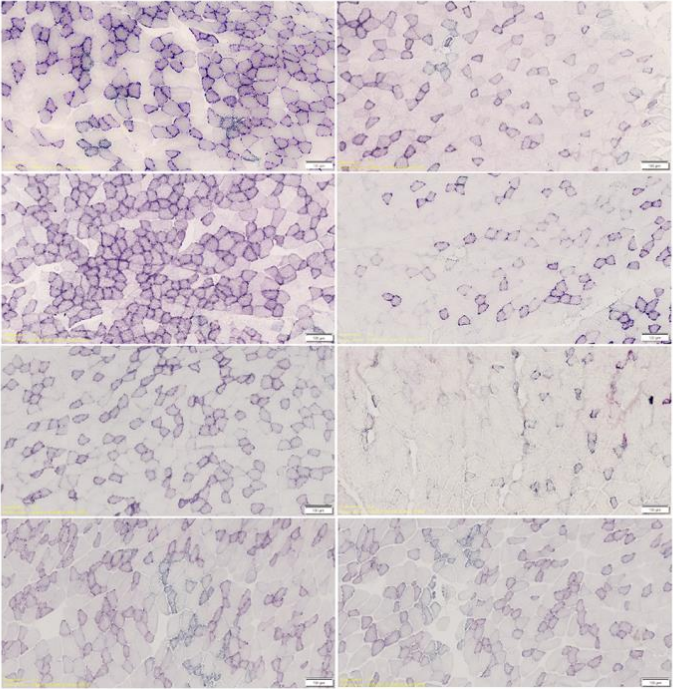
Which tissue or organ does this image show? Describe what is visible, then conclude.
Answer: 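Muscle fibers. Polygonal profiles packed side by side in a mosaic, as in a cross-section of skeletal muscle. Fibers are separated by thin pale spaces.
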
